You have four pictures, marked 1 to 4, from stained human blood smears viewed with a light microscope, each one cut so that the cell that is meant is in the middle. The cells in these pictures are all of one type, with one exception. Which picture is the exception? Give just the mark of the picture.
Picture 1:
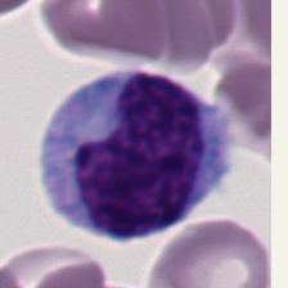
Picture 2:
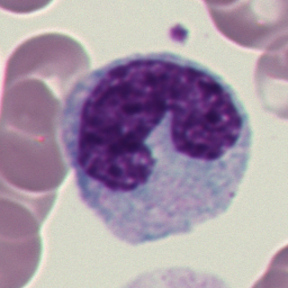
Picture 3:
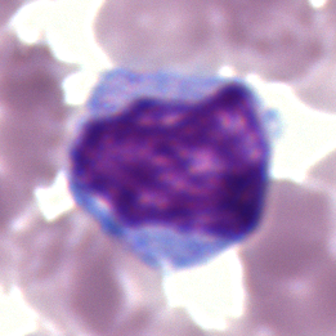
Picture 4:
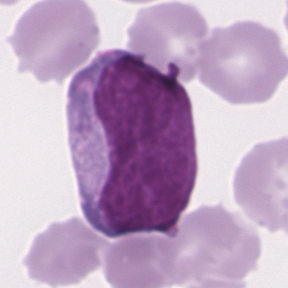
4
